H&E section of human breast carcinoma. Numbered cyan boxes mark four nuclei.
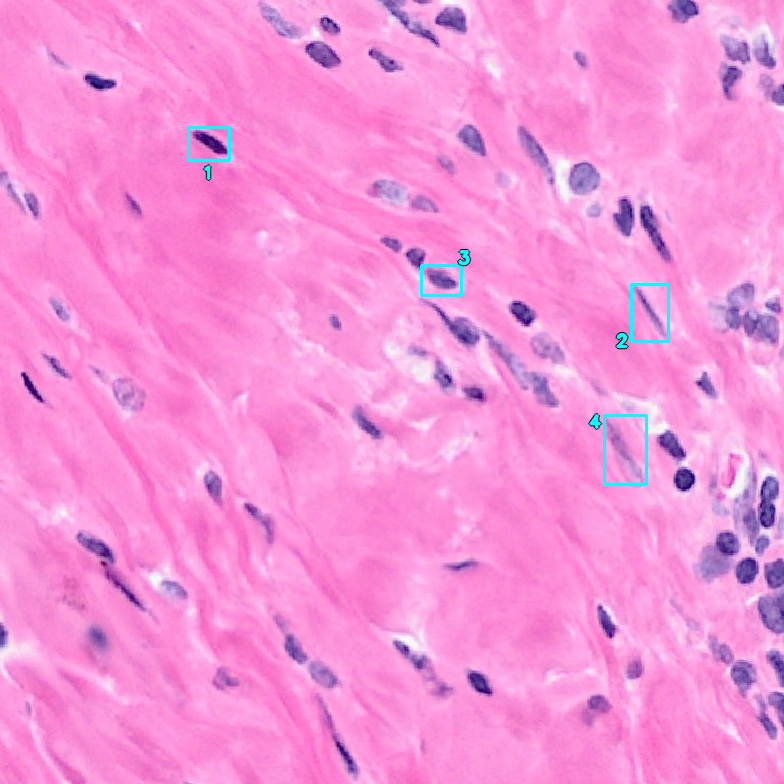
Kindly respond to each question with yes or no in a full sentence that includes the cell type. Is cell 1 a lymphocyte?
Yes, and to answer plainly, cell 1 is a lymphocyte.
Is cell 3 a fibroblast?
No, the cell that carries number 3 is a lymphocyte, not a fibroblast.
